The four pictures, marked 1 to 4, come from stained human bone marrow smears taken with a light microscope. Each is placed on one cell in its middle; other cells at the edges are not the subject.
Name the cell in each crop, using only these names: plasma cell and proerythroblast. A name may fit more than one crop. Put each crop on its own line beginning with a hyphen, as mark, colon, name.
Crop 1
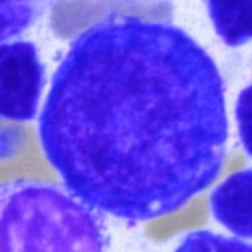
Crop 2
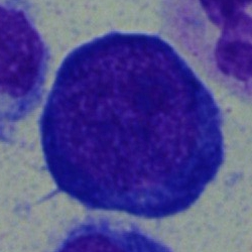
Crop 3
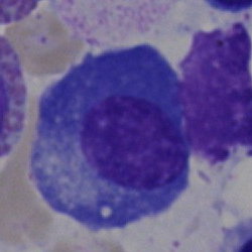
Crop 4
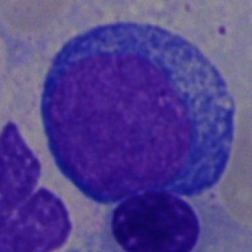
- 1: proerythroblast
- 2: proerythroblast
- 3: plasma cell
- 4: proerythroblast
